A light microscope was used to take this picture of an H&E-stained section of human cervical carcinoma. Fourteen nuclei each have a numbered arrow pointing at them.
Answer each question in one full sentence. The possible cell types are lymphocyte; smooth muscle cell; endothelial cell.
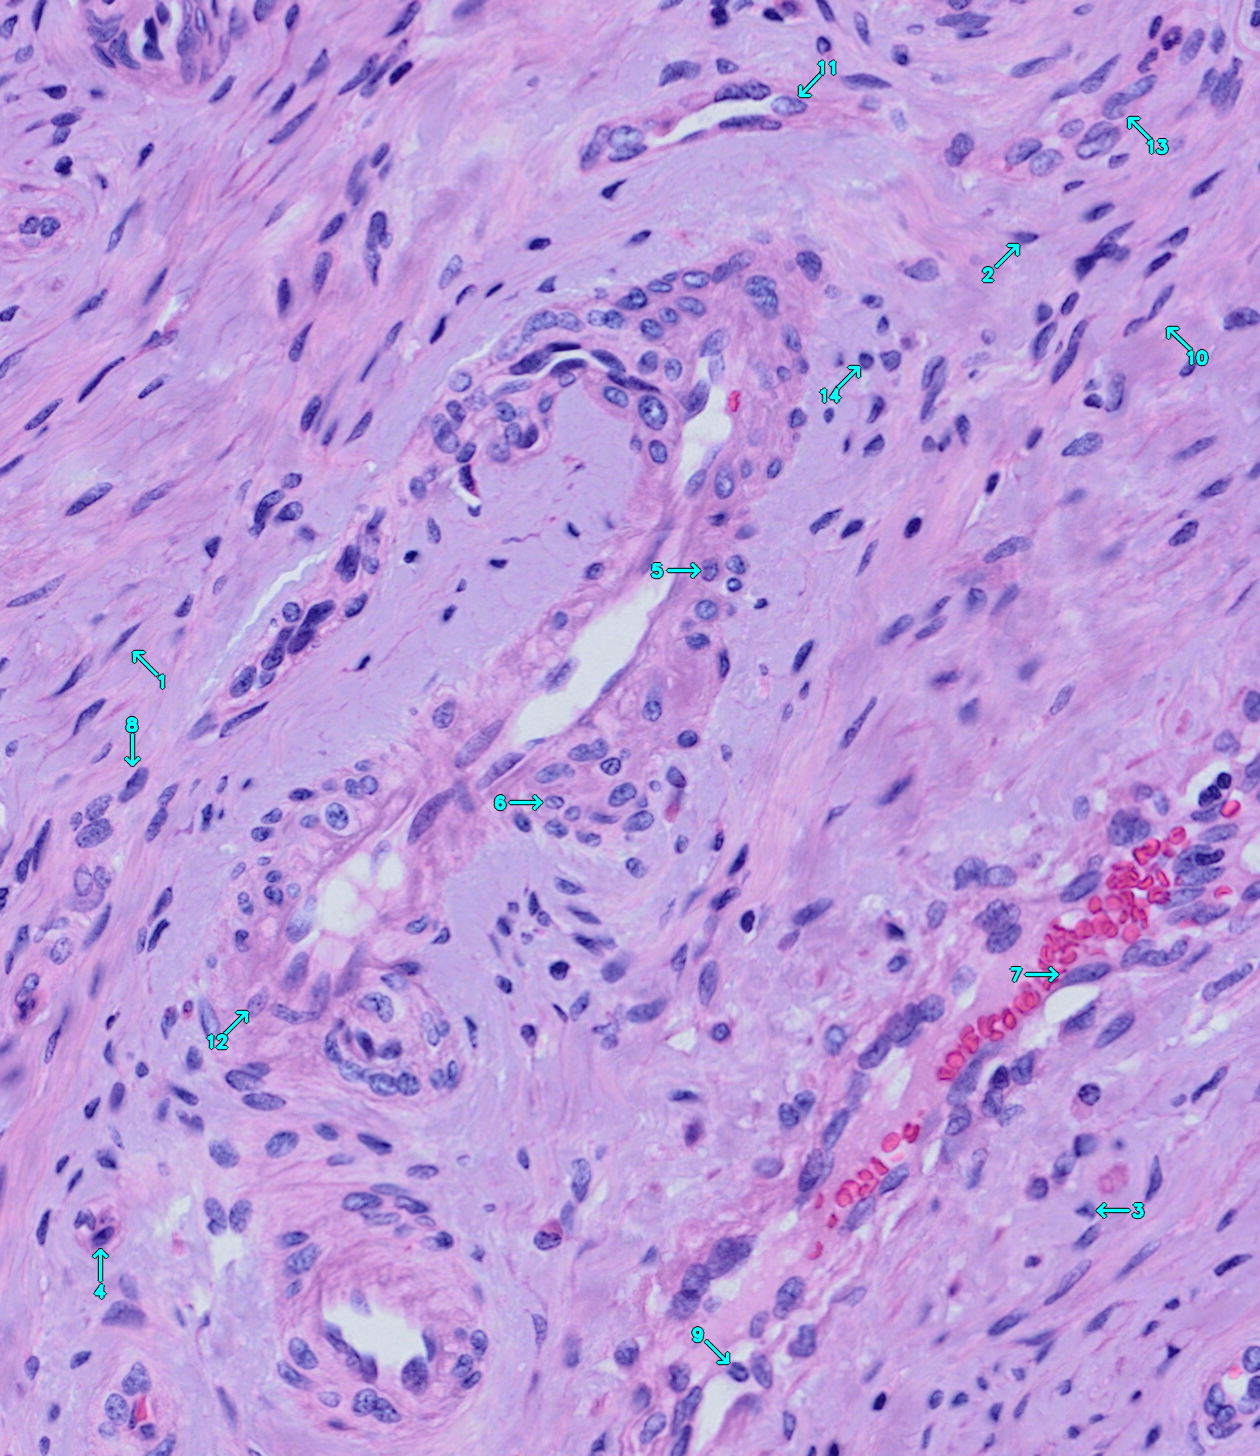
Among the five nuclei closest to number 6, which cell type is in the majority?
Around number 6, most of the five nearest nuclei are those of smooth muscle cells.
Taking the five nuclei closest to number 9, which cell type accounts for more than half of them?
Around number 9, most of the five nearest nuclei are those of endothelial cells.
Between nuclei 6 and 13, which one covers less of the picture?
With nucleus 13 about 2 times its size, nucleus 6 is the smaller of the two.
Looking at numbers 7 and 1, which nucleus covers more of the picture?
It is nucleus 7, which covers about 2.5 times the area of nucleus 1.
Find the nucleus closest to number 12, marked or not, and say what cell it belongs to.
Number 12 lies closest to the nucleus of a smooth muscle cell.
